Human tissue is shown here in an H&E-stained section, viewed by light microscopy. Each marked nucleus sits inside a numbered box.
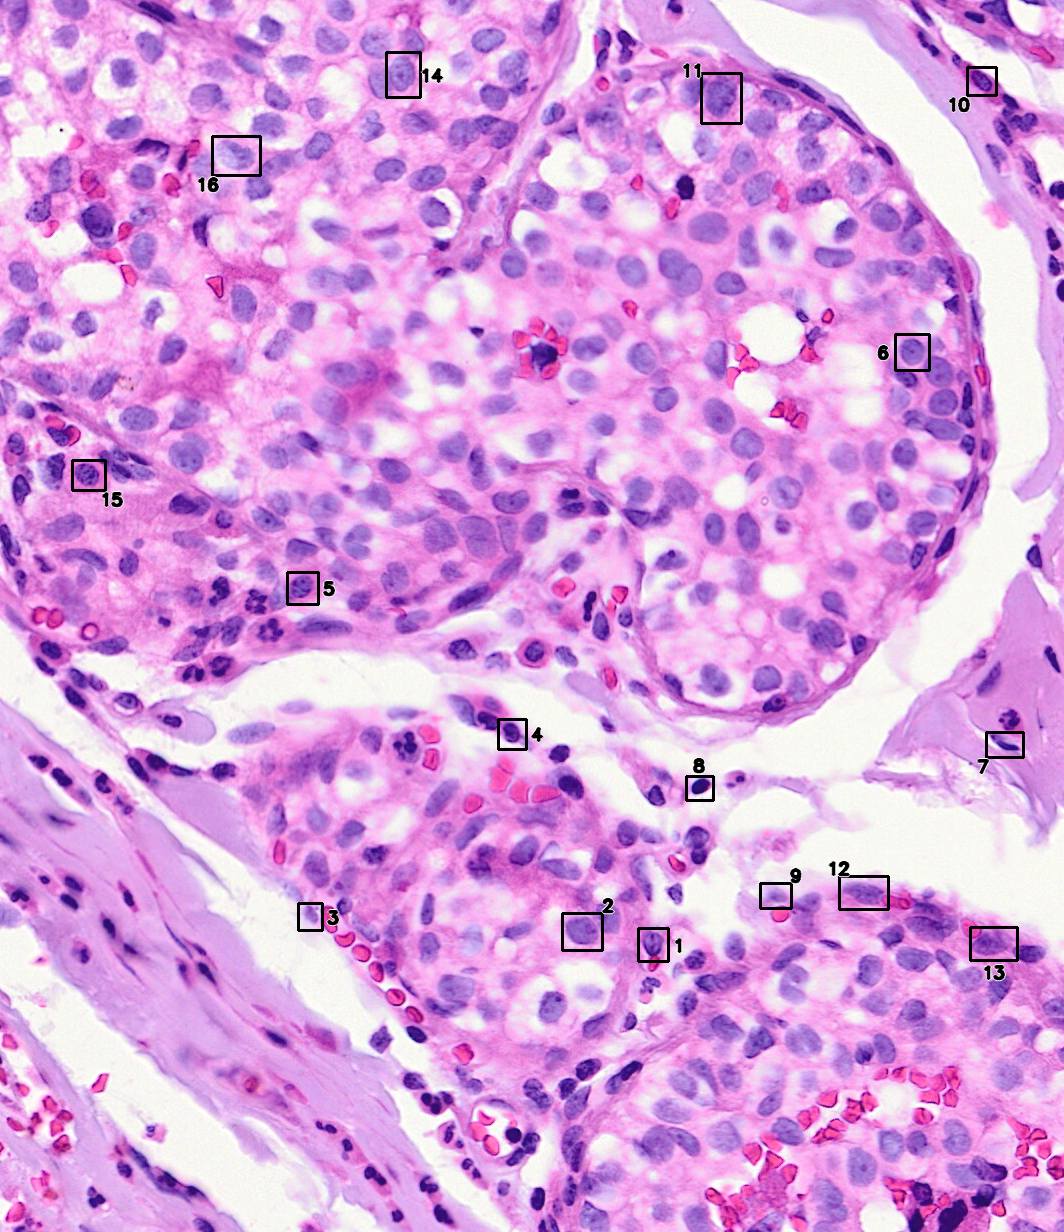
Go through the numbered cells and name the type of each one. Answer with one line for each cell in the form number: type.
1: endothelial cell
2: carcinoma cell
3: endothelial cell
4: lymphocyte
5: mast cell
6: carcinoma cell
7: fibroblast
8: lymphocyte
9: endothelial cell
10: mast cell
11: carcinoma cell
12: endothelial cell
13: endothelial cell
14: carcinoma cell
15: mast cell
16: carcinoma cell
